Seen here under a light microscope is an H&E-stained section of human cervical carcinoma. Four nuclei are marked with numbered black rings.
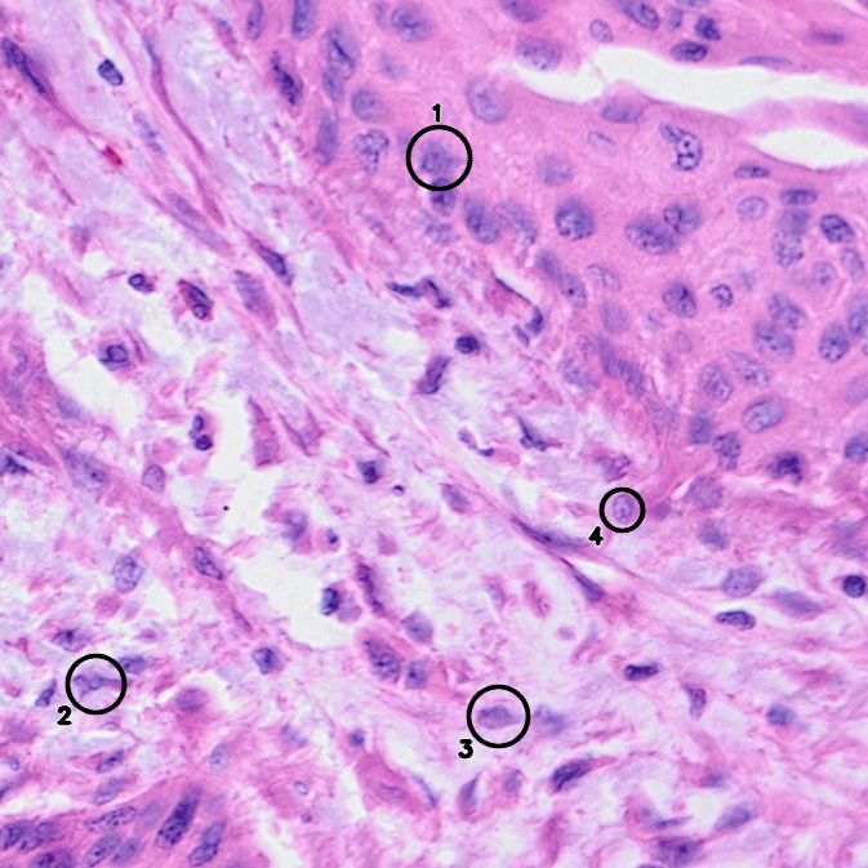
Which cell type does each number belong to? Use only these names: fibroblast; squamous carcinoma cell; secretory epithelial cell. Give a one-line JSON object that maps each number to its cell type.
{"1": "squamous carcinoma cell", "2": "fibroblast", "3": "fibroblast", "4": "fibroblast"}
